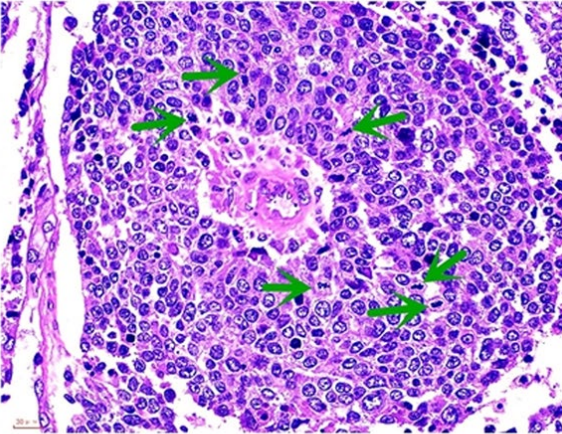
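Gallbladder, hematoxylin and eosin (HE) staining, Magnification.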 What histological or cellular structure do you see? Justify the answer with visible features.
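Tumour cells are packed together without glands or papillae. Cells form a continuous nest around a small central vessel.
Answer: solid sheets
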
